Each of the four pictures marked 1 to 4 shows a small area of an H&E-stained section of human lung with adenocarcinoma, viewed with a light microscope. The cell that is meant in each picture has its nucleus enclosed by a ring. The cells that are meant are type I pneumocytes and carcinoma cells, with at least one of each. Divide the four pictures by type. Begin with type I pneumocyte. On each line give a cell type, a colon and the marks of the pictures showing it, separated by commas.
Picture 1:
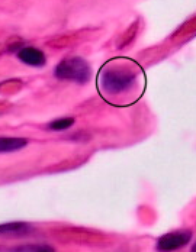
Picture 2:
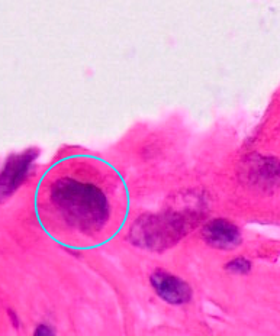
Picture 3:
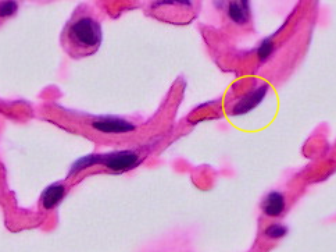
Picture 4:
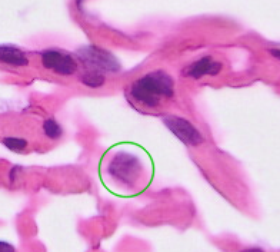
type I pneumocyte: 1, 3, 4
carcinoma cell: 2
